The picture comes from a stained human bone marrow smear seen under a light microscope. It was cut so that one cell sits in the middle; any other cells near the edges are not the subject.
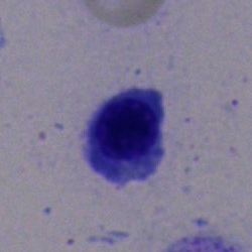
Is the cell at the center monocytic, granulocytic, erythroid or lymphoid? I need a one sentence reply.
The cell at the middle of this crop is assigned to the erythroid lineage.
